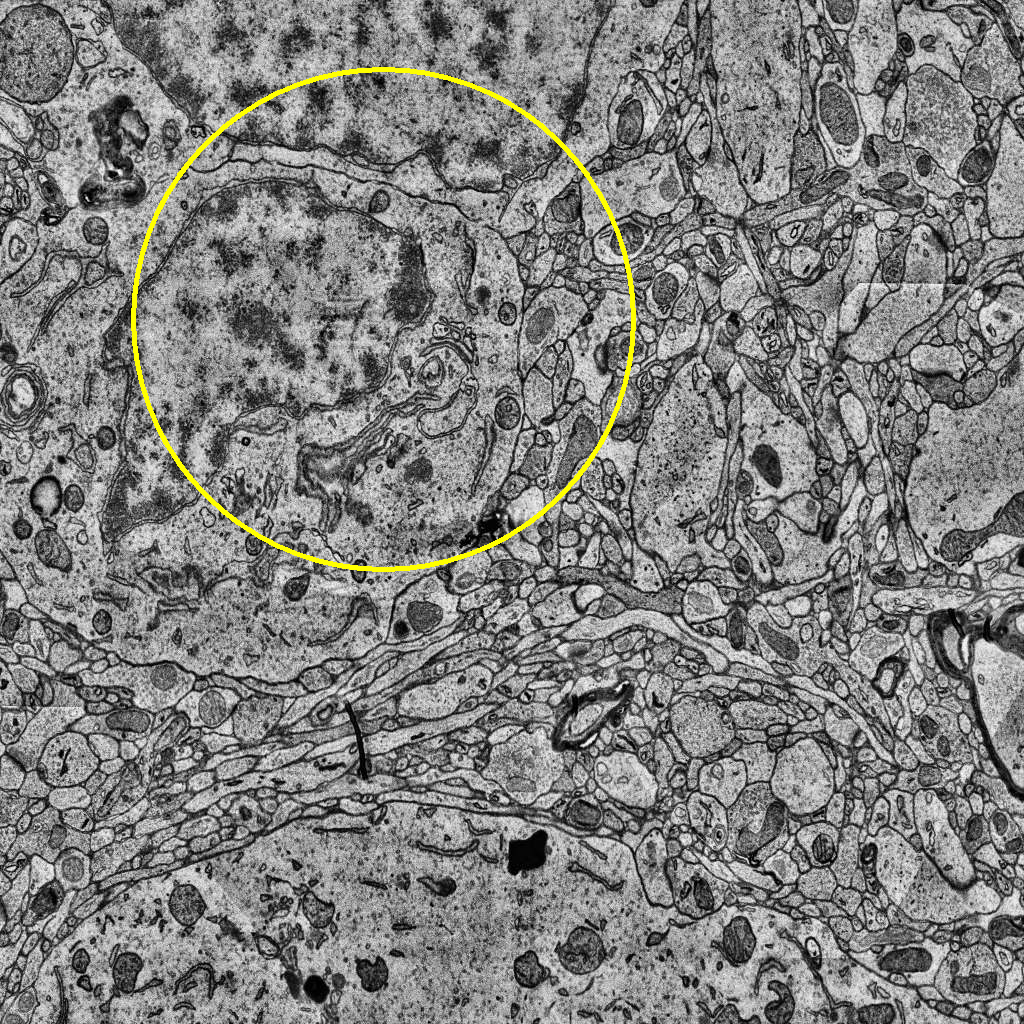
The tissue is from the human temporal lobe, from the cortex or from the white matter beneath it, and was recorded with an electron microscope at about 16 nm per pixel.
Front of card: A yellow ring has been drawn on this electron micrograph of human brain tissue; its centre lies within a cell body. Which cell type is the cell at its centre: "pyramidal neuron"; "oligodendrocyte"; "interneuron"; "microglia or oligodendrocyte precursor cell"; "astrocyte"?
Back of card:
interneuron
